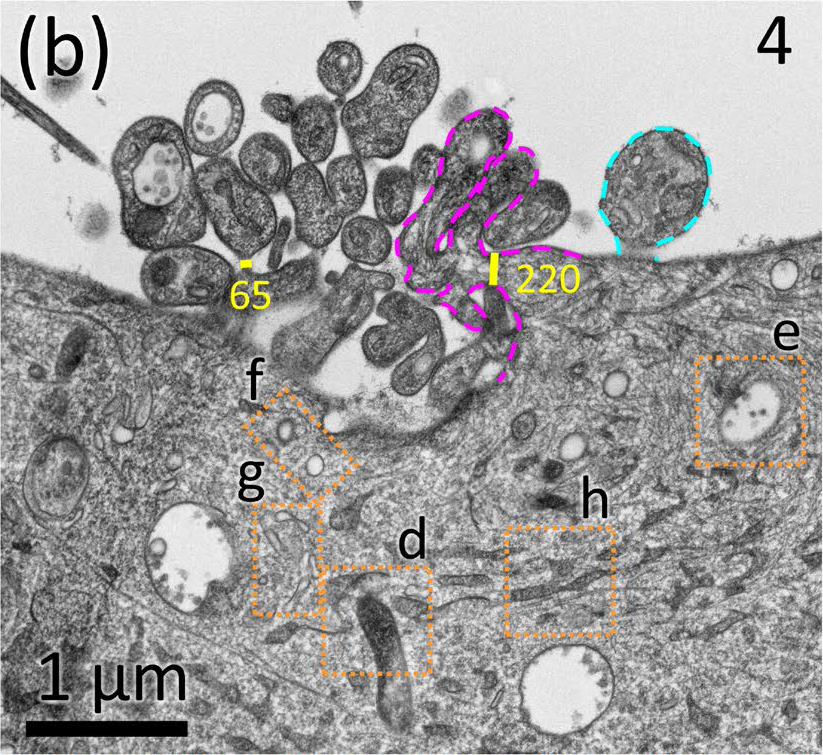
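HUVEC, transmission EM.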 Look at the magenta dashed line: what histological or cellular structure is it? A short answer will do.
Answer: a branched protrusion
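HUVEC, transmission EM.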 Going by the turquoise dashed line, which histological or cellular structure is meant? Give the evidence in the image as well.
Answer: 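The outlined body is a single rounded bulb. It attaches to the cell surface by one short stalk.
Answer: an unbranched protrusion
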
